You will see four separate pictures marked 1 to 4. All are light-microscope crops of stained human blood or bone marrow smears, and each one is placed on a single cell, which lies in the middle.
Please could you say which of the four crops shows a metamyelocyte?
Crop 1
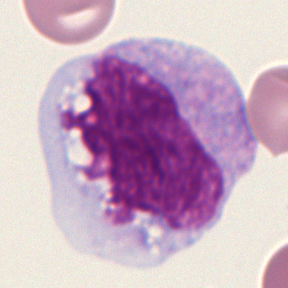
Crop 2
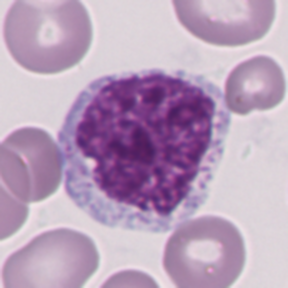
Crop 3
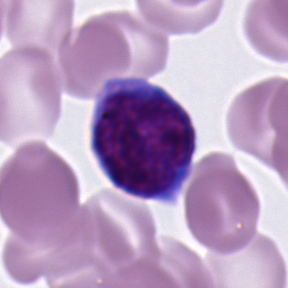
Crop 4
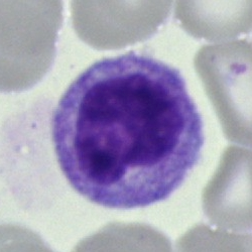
4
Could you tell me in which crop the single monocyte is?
1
